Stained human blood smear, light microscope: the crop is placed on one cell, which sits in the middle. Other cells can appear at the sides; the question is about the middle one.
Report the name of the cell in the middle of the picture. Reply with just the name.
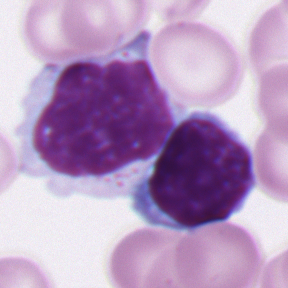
lymphocyte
